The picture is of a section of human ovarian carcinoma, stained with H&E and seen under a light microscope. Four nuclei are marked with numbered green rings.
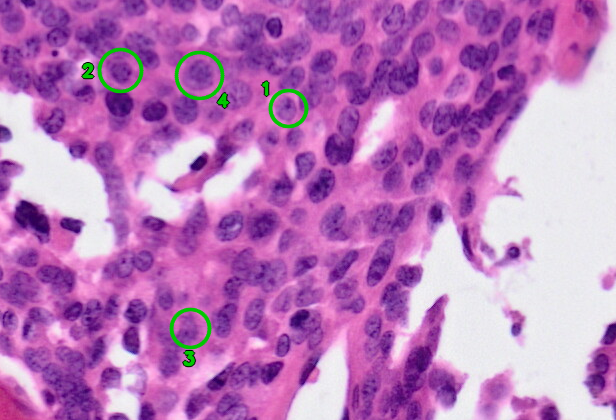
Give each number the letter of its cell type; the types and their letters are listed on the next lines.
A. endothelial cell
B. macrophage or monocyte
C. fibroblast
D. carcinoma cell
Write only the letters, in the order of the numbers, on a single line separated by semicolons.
B; D; D; D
